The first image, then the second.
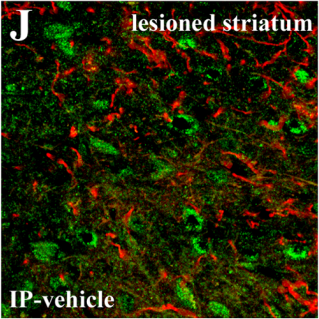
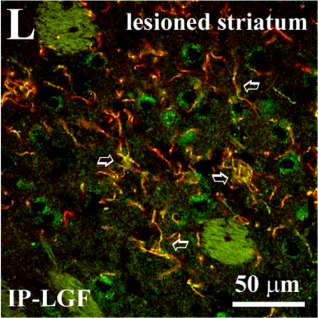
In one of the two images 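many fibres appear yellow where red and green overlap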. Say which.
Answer: the second image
